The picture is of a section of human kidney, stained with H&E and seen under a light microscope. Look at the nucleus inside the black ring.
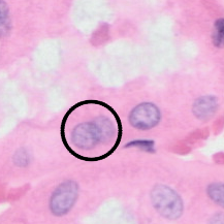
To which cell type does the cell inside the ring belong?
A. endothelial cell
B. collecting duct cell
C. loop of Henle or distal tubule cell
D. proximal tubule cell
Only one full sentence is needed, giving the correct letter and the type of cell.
Given that the cell inside the ring is a proximal tubule cell, option D is the correct one.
